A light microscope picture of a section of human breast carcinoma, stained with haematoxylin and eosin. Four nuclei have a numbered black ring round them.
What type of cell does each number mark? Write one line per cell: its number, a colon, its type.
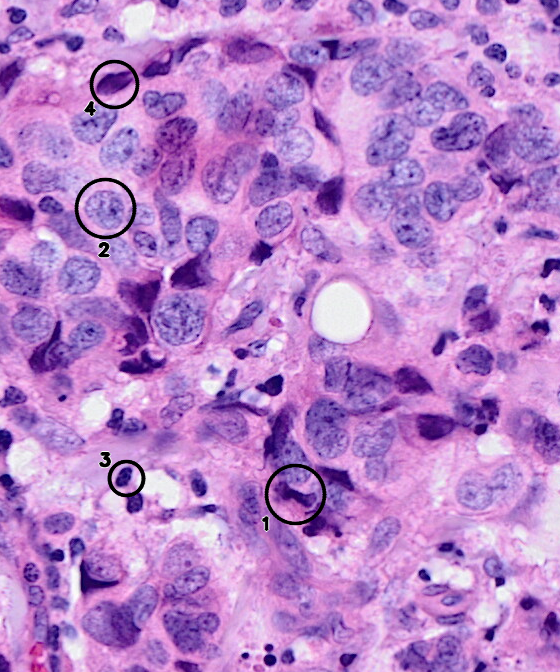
1: carcinoma cell
2: carcinoma cell
3: lymphocyte
4: carcinoma cell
